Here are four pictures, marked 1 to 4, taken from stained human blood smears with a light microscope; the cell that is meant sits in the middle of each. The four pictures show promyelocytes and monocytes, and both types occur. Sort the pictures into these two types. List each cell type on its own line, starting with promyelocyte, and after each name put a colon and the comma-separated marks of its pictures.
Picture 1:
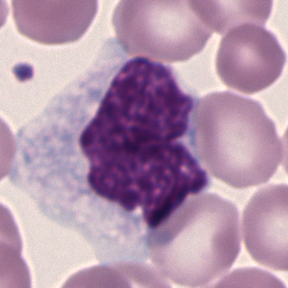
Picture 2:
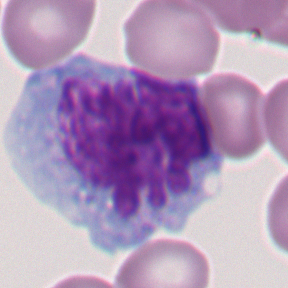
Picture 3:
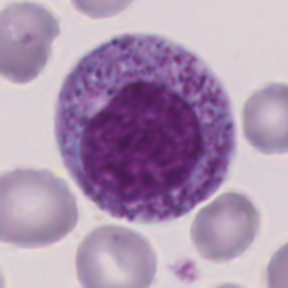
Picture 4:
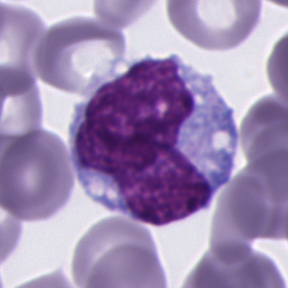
promyelocyte: 3
monocyte: 1, 2, 4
